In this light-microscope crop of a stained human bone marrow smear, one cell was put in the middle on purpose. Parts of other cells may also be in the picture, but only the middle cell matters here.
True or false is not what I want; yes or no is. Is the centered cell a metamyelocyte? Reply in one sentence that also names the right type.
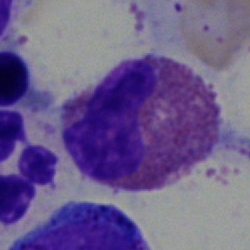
No, that would be an eosinophil, not a metamyelocyte, for the cell at the centre.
